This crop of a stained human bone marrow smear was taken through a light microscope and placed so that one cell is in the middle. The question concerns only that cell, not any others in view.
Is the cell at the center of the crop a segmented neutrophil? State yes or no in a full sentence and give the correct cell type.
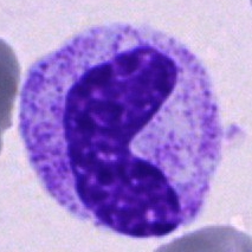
No, the cell at the centre is categorised not as a segmented neutrophil but as a band neutrophil.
